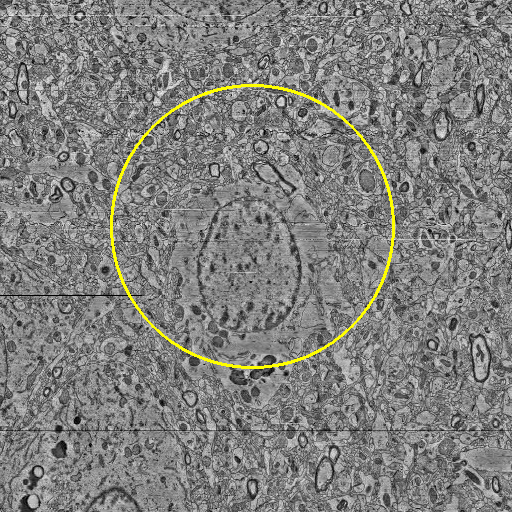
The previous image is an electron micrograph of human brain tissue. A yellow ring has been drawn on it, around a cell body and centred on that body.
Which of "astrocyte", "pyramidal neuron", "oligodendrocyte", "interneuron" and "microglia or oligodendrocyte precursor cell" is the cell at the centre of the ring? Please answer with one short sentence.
The cell body at the centre of the ring belongs to an astrocyte.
